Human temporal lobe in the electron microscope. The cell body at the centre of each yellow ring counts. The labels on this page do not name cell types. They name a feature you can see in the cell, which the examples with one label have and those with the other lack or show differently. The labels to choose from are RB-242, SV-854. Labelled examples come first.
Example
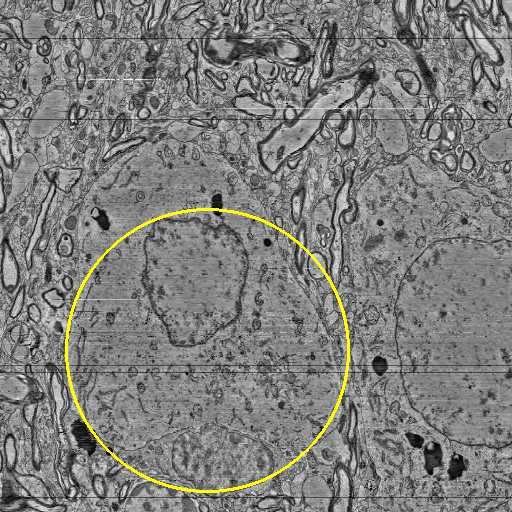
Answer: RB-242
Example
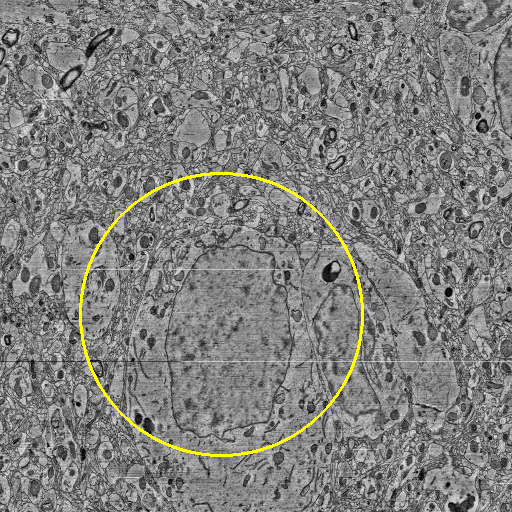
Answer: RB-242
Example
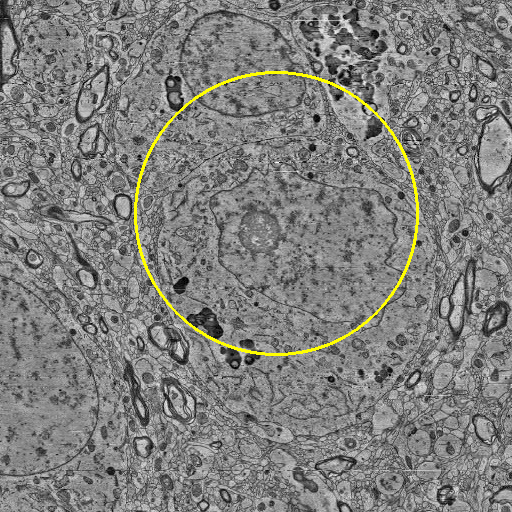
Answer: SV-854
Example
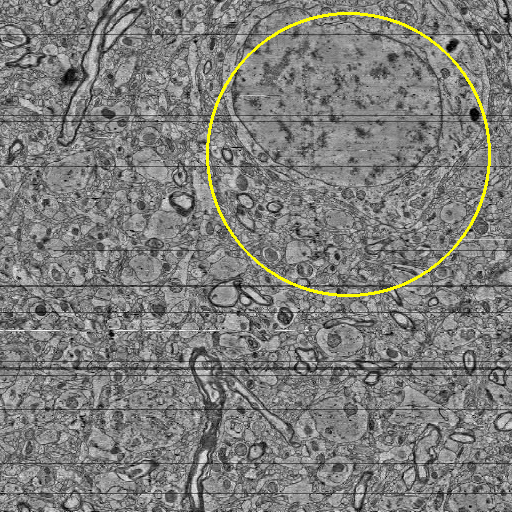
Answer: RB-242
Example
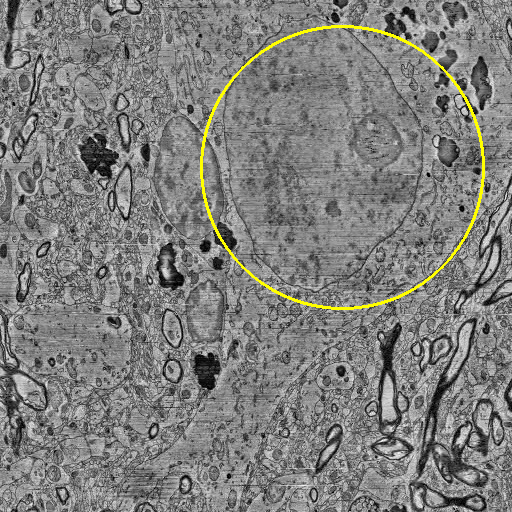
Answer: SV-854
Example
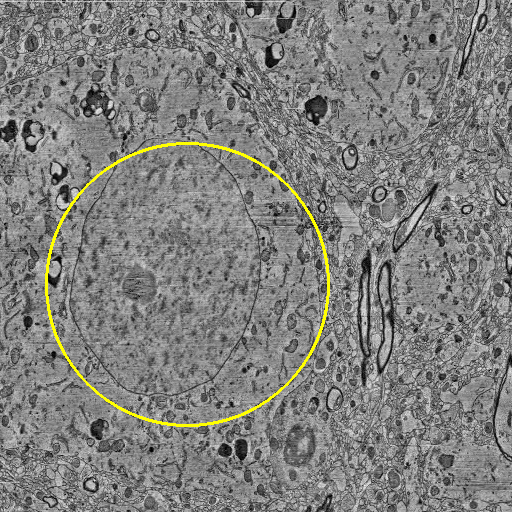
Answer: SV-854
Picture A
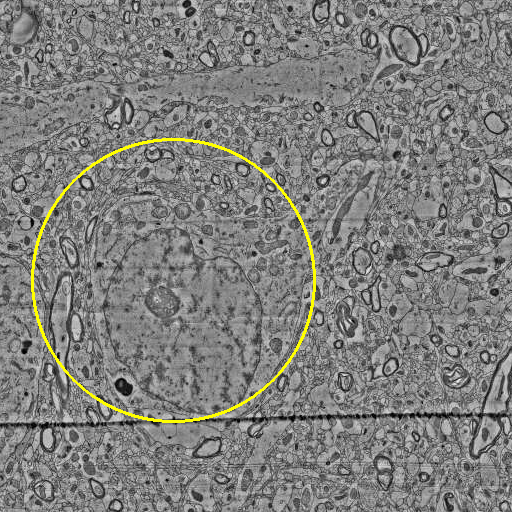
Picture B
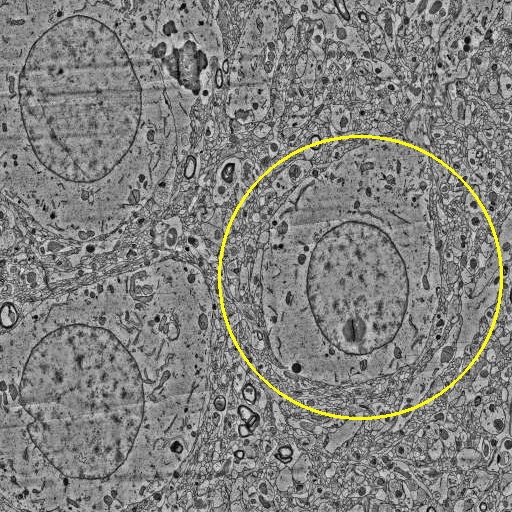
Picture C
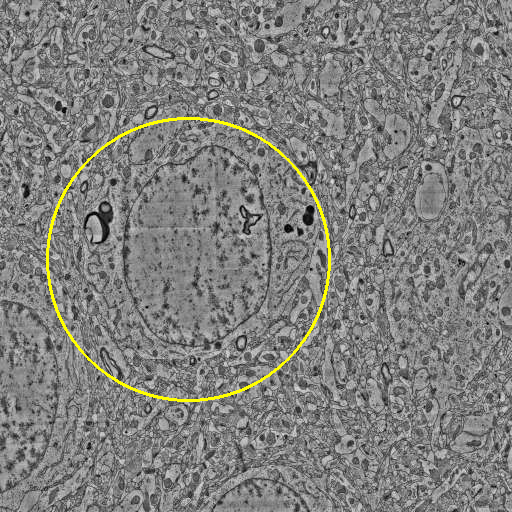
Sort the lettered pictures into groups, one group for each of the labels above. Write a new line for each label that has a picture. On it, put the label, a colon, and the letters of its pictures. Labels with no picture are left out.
RB-242: C
SV-854: A, B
